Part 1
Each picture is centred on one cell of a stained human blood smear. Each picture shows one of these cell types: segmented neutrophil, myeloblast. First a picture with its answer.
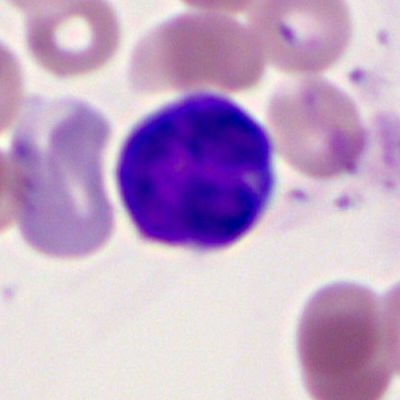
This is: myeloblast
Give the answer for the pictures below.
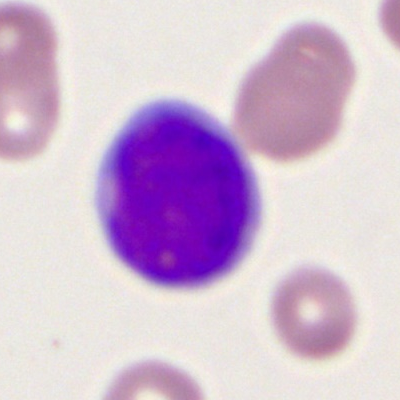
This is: myeloblast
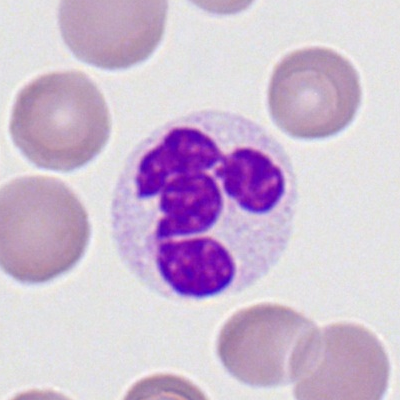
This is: segmented neutrophil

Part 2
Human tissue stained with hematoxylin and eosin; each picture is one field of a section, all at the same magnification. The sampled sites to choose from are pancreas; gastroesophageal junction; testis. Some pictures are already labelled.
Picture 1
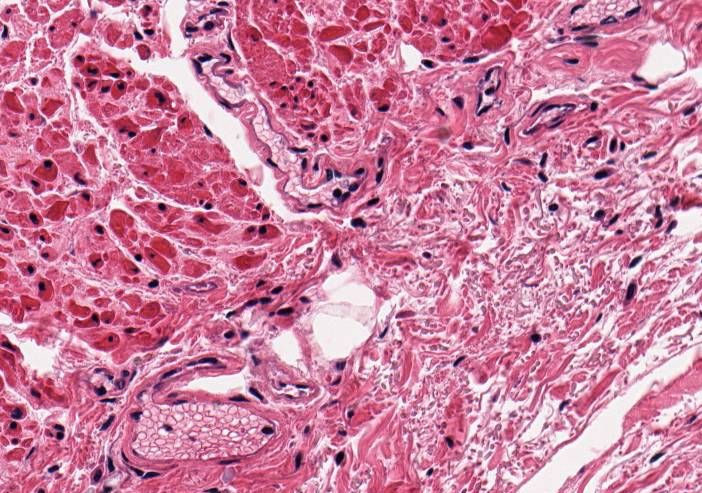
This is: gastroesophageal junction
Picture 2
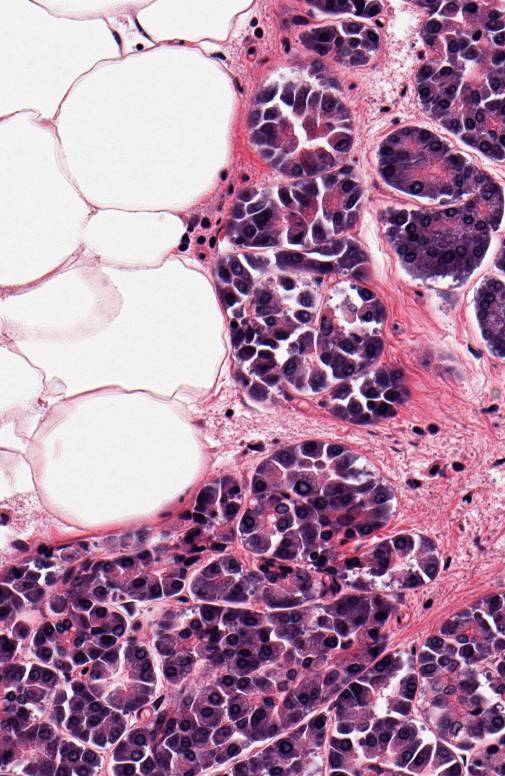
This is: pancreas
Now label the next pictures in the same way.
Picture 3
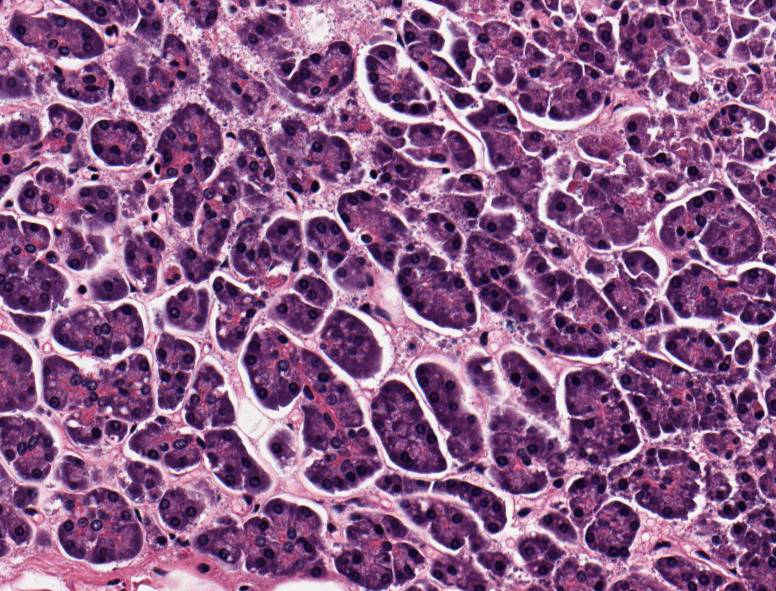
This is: pancreas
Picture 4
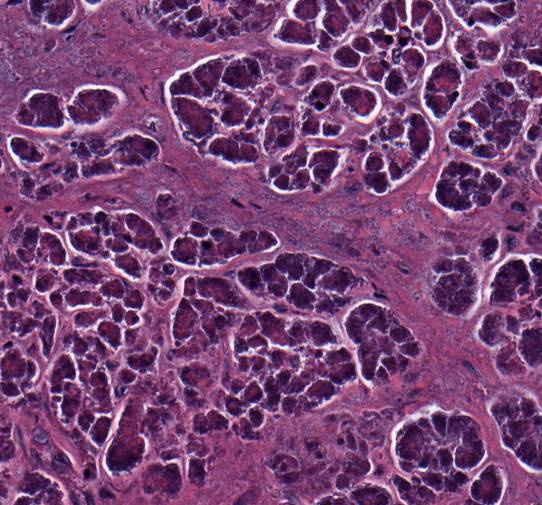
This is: pancreas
